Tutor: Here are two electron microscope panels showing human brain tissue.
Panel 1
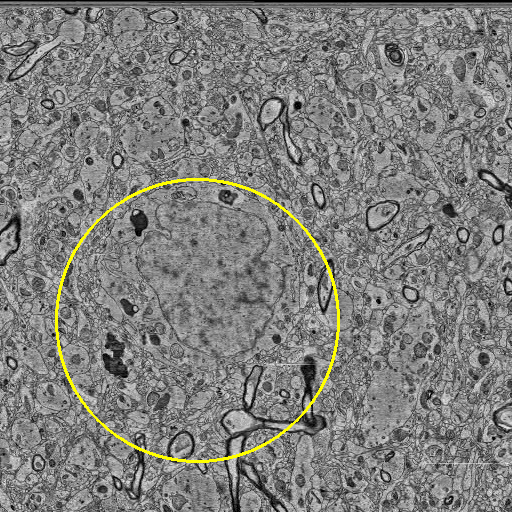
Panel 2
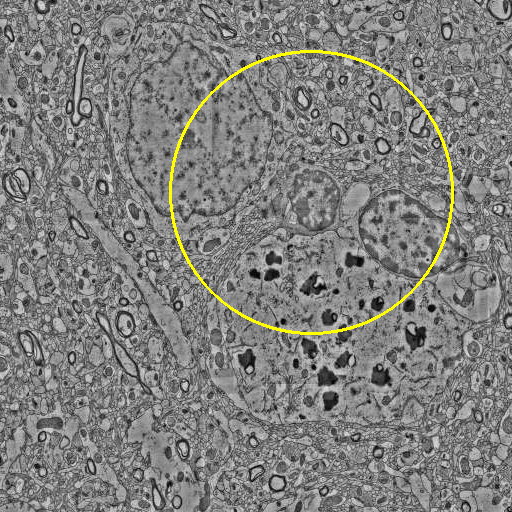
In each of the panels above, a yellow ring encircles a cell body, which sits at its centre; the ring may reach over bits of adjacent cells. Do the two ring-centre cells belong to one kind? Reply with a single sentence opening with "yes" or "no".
No, the two cells sitting at the ring centres in the panels belong to two kinds.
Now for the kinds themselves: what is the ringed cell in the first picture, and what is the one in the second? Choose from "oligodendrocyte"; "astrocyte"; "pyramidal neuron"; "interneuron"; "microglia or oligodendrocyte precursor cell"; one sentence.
Here the first cell is an interneuron and the second cell is an oligodendrocyte.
